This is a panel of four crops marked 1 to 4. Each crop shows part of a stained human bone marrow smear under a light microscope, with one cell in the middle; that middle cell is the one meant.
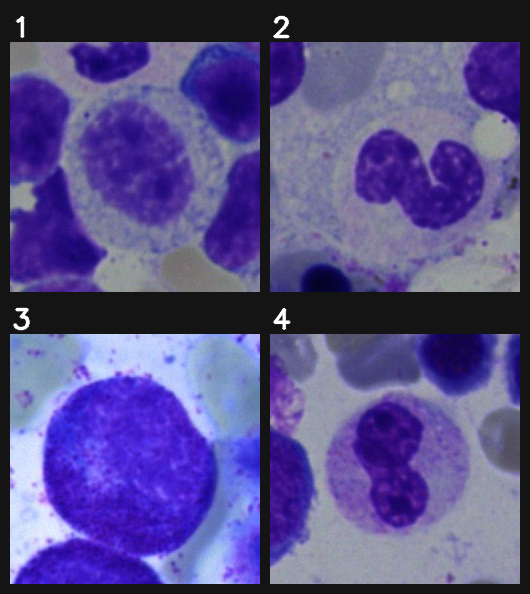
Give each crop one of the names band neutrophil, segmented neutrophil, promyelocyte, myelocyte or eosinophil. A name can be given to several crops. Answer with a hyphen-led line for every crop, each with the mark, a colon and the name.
- 1: myelocyte
- 2: band neutrophil
- 3: promyelocyte
- 4: band neutrophil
